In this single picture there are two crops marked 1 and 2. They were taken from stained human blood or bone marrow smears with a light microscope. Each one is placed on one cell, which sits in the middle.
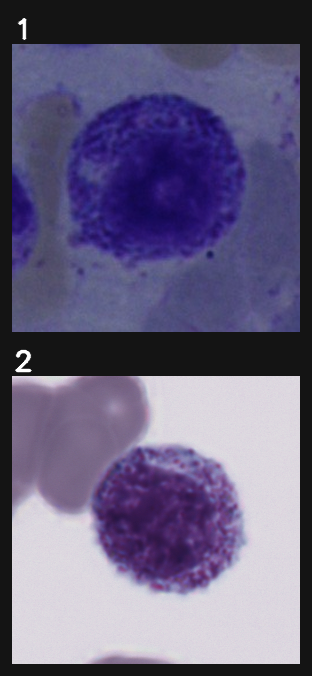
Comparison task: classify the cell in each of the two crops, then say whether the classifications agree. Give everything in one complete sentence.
Yes, the centre cells of both crops are myelocytes.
